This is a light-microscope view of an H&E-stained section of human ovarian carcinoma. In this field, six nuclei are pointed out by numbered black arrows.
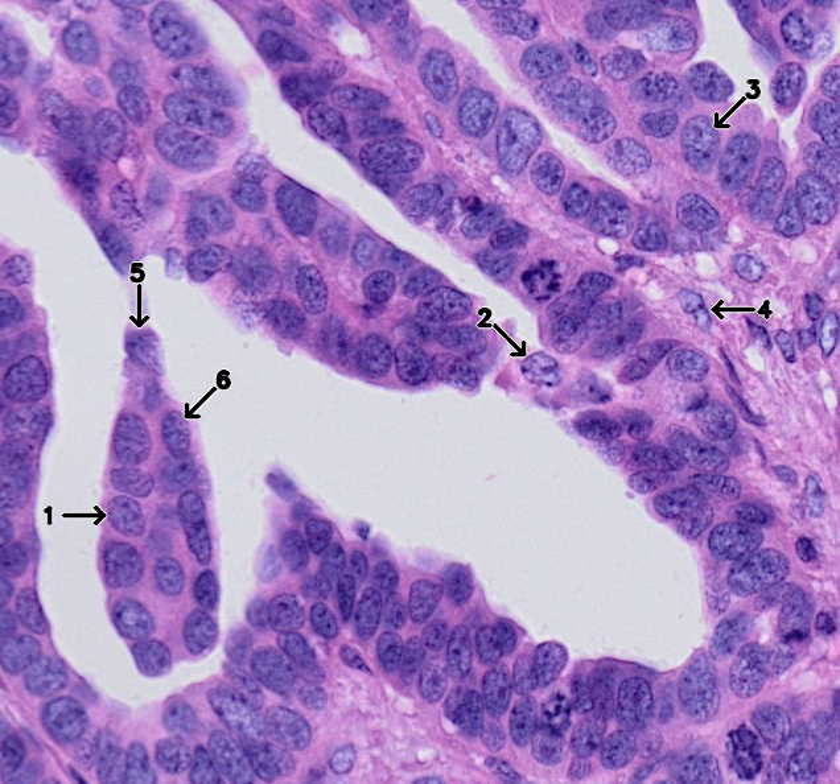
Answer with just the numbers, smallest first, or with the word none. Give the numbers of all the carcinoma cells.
1, 3, 5, 6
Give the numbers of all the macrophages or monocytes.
2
